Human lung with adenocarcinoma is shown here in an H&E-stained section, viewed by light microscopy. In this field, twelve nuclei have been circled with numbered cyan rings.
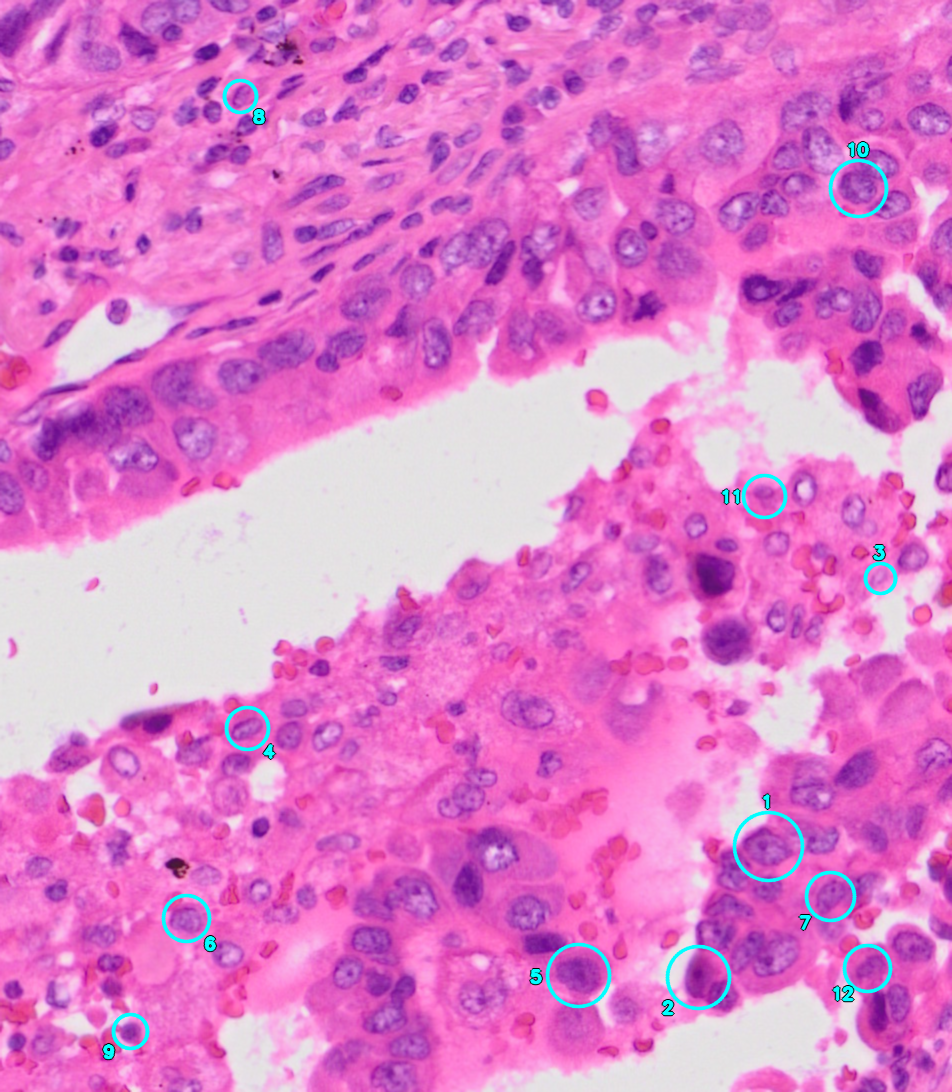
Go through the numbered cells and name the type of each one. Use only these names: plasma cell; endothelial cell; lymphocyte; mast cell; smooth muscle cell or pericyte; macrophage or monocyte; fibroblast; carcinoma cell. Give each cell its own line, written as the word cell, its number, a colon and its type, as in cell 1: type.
cell 1: carcinoma cell
cell 2: carcinoma cell
cell 3: macrophage or monocyte
cell 4: macrophage or monocyte
cell 5: carcinoma cell
cell 6: macrophage or monocyte
cell 7: carcinoma cell
cell 8: plasma cell
cell 9: lymphocyte
cell 10: carcinoma cell
cell 11: macrophage or monocyte
cell 12: carcinoma cell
